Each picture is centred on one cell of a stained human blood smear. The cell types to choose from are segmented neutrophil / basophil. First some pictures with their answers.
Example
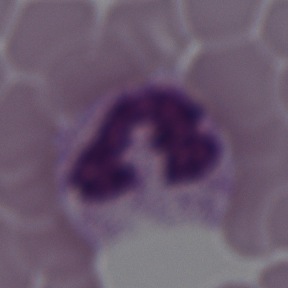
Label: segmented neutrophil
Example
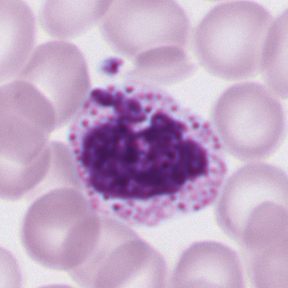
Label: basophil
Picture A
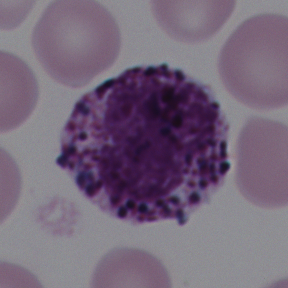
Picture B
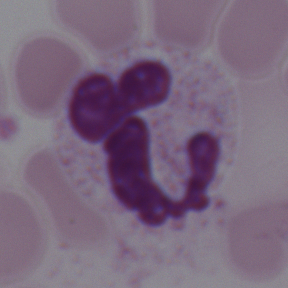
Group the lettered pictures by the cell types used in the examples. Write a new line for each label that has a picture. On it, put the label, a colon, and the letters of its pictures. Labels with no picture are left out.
segmented neutrophil: B
basophil: A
